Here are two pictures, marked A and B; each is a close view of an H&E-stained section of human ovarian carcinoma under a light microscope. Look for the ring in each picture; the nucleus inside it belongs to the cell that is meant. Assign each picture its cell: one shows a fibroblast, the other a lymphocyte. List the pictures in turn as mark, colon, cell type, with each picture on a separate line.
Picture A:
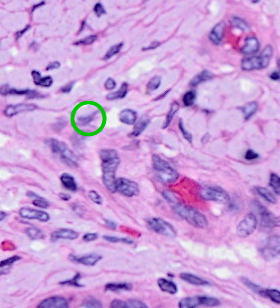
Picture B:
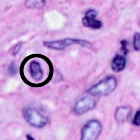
A: fibroblast
B: lymphocyte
